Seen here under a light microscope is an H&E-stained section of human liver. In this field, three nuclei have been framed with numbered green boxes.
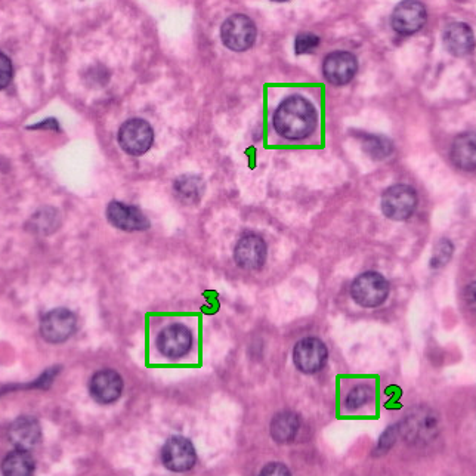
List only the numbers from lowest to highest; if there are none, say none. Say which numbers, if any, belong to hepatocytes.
1, 3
